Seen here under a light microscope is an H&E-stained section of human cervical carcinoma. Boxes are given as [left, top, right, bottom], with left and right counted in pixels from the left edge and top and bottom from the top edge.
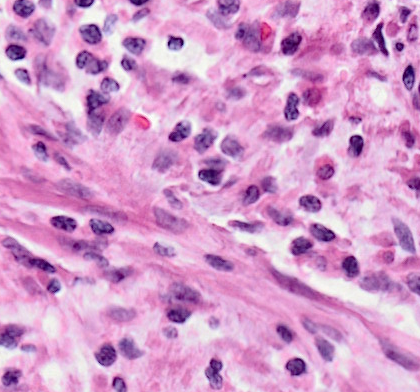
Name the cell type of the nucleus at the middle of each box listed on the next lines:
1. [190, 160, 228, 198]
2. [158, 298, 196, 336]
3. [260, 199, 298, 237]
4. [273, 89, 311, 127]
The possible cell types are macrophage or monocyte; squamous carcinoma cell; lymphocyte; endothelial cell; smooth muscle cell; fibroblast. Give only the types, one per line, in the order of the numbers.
lymphocyte
lymphocyte
macrophage or monocyte
lymphocyte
